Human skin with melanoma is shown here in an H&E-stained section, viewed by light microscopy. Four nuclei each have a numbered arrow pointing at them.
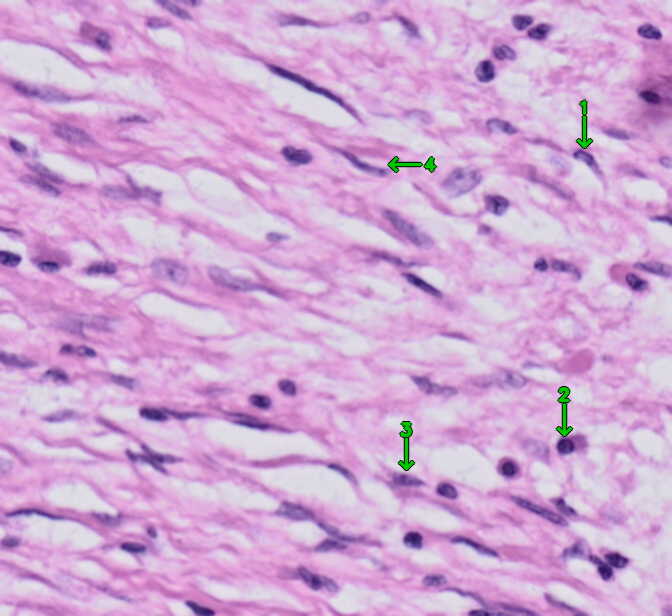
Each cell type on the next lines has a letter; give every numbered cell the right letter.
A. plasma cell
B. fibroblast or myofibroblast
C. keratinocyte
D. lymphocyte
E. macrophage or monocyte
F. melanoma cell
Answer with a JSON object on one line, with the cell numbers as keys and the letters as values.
{"1": "B", "2": "A", "3": "B", "4": "B"}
